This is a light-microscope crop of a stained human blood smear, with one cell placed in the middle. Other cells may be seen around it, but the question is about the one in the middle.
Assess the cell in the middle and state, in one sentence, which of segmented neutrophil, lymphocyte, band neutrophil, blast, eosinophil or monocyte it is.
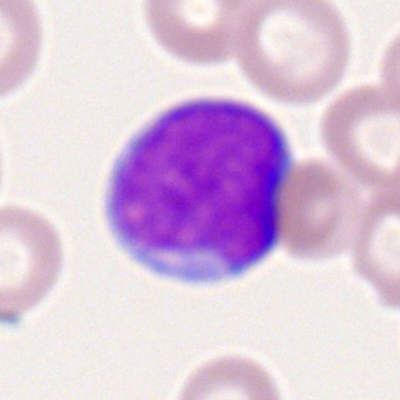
The centrally positioned cell in the crop represents a blast.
